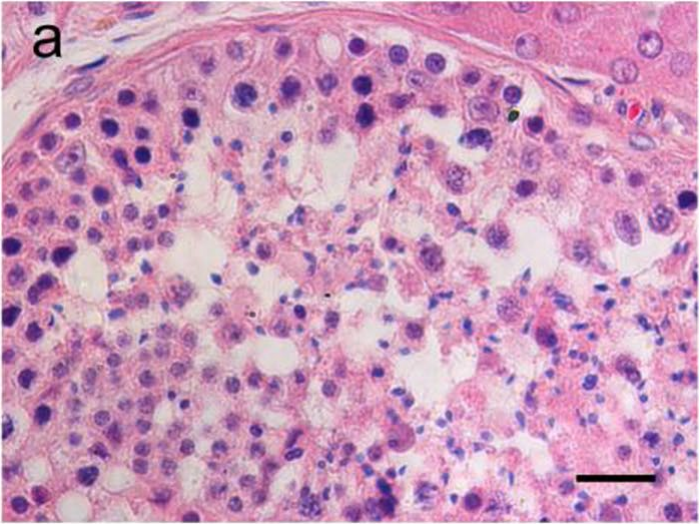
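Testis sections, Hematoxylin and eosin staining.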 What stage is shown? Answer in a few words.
Full spermatogenesis.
